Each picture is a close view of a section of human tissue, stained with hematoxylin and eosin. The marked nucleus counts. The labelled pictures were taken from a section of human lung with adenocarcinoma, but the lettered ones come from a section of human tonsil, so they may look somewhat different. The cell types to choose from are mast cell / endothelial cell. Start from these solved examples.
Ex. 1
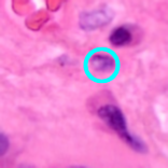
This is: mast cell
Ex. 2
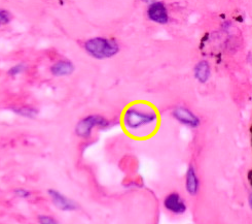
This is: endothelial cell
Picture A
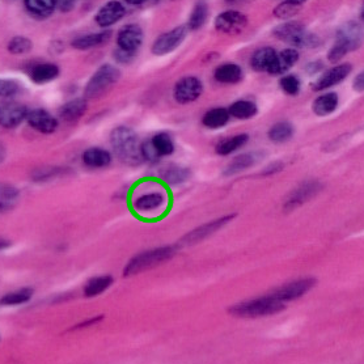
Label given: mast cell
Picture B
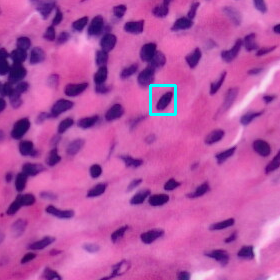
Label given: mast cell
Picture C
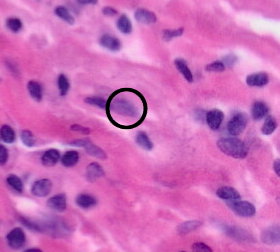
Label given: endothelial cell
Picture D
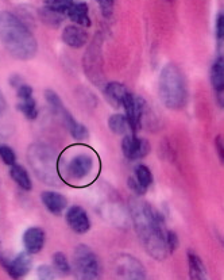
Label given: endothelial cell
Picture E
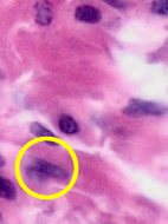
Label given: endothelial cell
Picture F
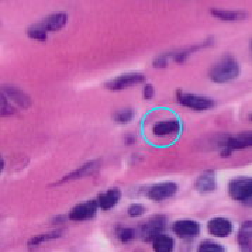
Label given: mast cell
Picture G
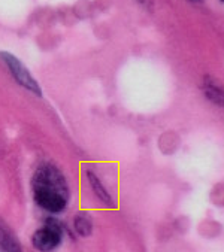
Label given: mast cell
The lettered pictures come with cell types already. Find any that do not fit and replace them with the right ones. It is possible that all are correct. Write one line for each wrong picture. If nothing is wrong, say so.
G should be endothelial cell, not mast cell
